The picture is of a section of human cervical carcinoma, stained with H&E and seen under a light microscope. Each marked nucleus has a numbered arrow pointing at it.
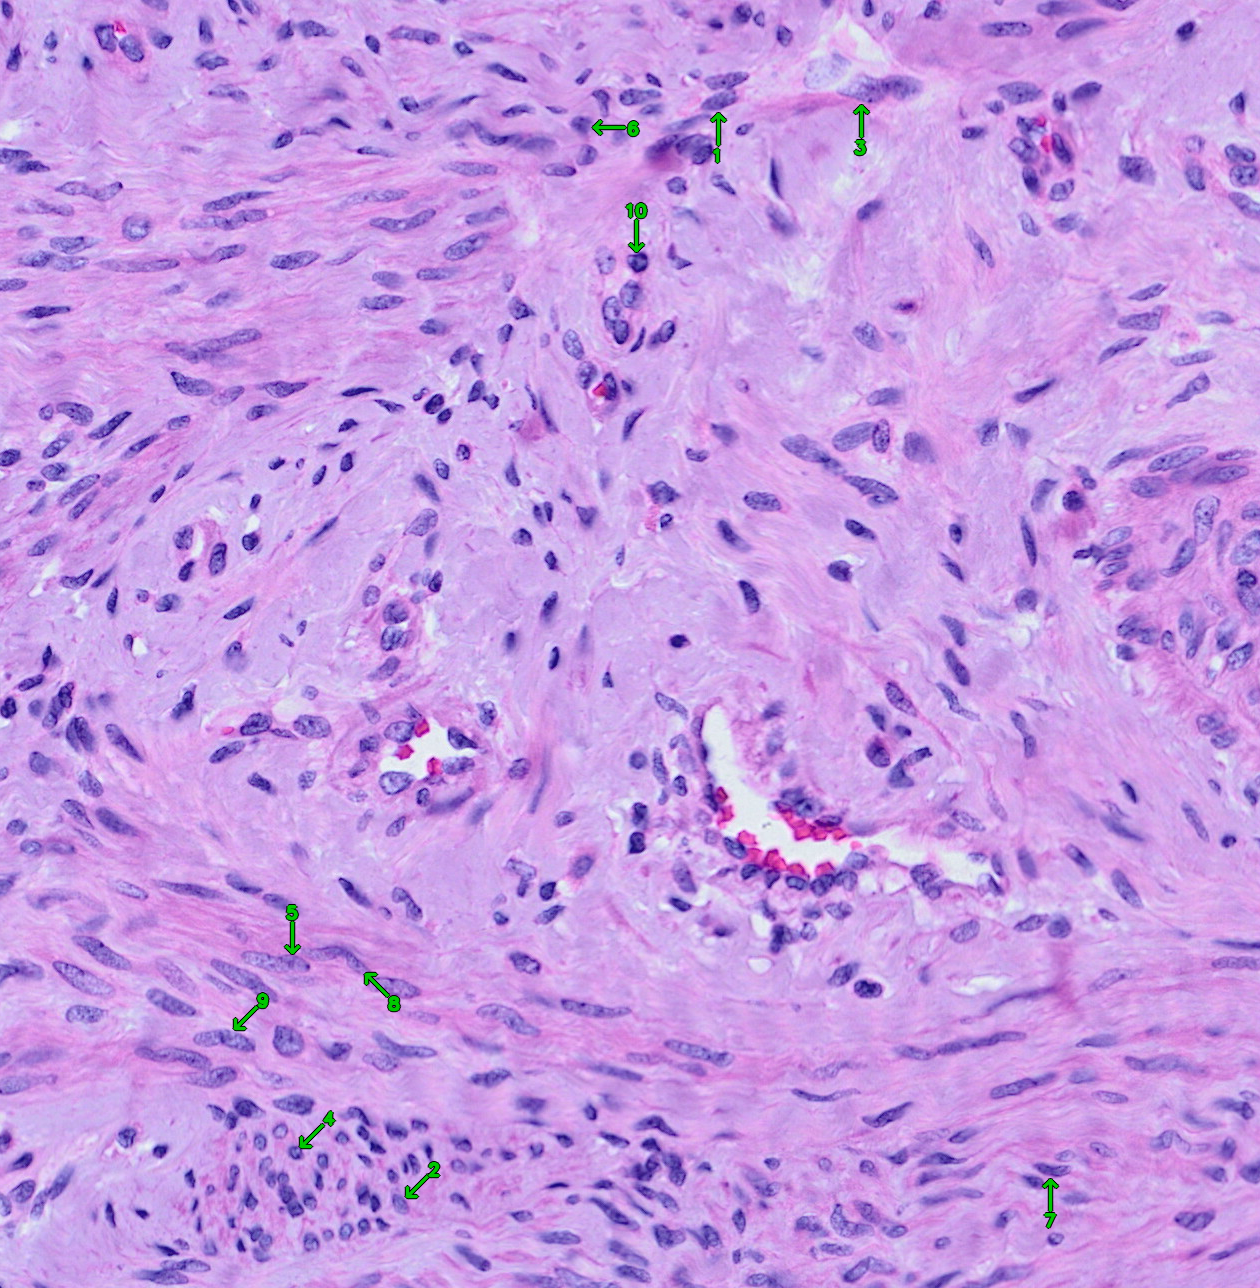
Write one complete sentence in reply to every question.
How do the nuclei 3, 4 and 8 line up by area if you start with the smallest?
Smallest first, the nuclei run 4, 8, 3.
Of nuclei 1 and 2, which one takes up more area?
Nucleus 1 is larger, with an area about 2.5 times that of nucleus 2.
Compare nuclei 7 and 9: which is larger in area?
Nucleus 9 is the larger one, covering about 2.5 times the area of nucleus 7.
